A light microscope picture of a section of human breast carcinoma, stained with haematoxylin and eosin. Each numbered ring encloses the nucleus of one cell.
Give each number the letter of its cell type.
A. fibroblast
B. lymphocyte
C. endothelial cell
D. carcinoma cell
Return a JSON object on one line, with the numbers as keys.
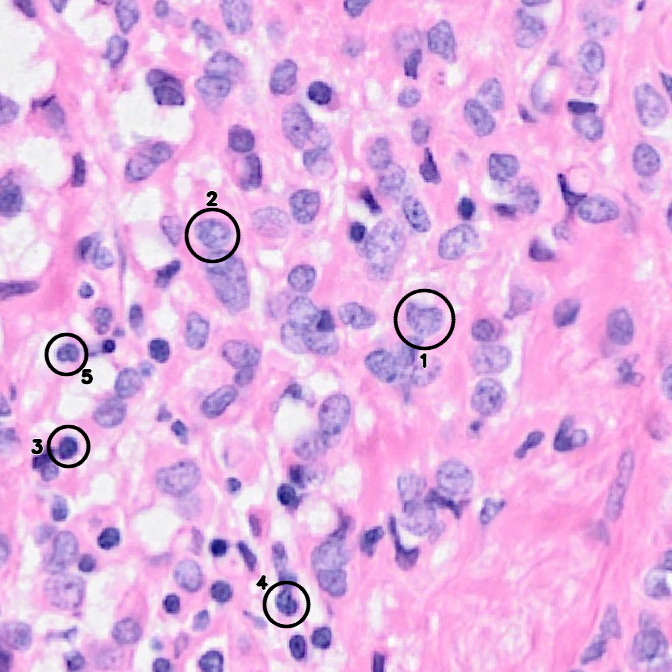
{"1": "D", "2": "D", "3": "B", "4": "B", "5": "B"}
